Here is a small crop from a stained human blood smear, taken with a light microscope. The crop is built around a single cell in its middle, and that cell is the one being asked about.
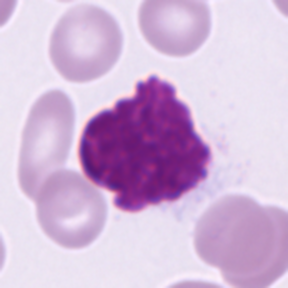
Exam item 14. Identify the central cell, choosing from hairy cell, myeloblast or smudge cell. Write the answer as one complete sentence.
The middle position in this crop is taken by a smudge cell.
